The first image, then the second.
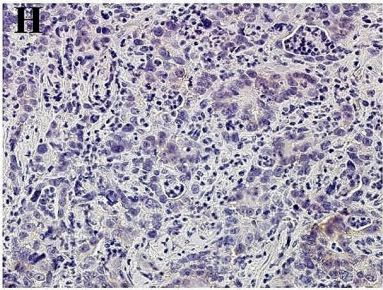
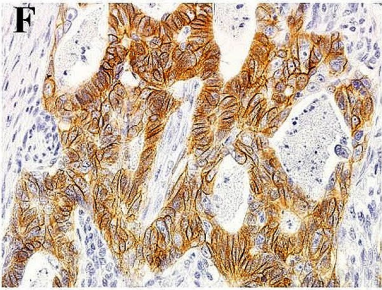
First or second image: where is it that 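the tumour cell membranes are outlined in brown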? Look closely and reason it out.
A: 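First image: tumour cells show only blue nuclei and pale cytoplasm, no brown outlines. Second image: thick brown lines outline nearly every tumour cell. That points to this answer: the second image.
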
